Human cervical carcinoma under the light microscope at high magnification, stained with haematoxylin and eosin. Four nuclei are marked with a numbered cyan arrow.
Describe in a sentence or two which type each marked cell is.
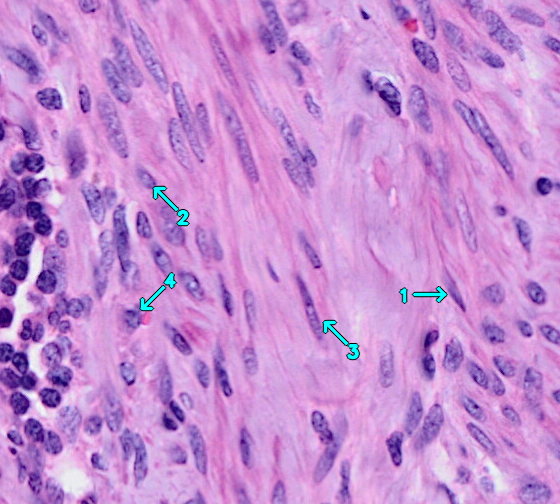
Cell 1 is a smooth muscle cell, cell 2 is a smooth muscle cell, cell 3 is a smooth muscle cell and cell 4 is an endothelial cell.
